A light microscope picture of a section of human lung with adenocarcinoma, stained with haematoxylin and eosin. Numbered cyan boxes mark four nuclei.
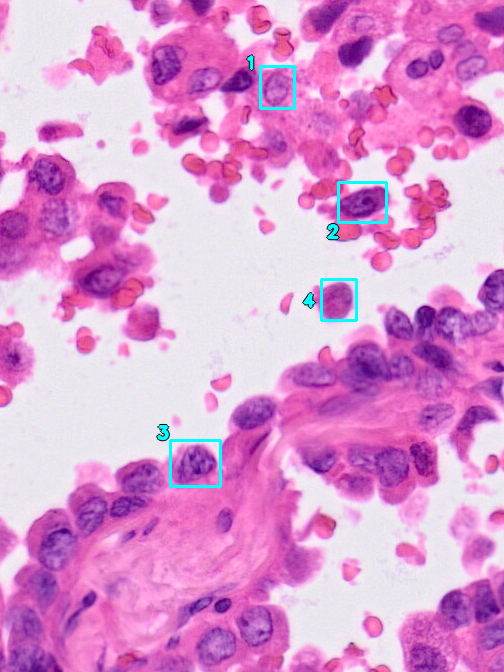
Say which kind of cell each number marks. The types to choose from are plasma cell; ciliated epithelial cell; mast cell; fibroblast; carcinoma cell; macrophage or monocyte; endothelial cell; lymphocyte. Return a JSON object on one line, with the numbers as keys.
{"1": "macrophage or monocyte", "2": "carcinoma cell", "3": "carcinoma cell", "4": "carcinoma cell"}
